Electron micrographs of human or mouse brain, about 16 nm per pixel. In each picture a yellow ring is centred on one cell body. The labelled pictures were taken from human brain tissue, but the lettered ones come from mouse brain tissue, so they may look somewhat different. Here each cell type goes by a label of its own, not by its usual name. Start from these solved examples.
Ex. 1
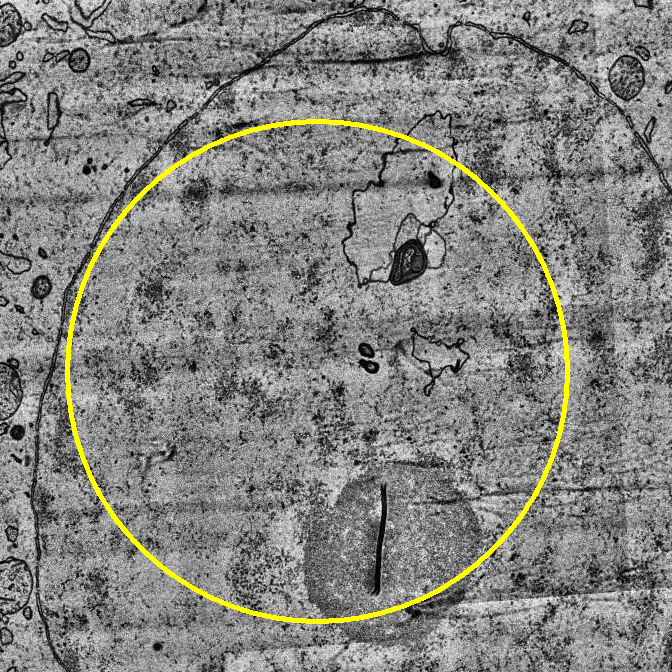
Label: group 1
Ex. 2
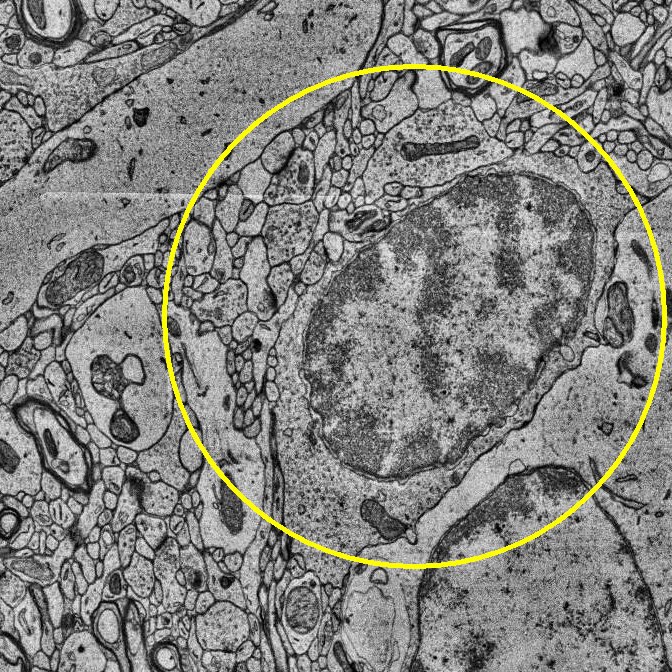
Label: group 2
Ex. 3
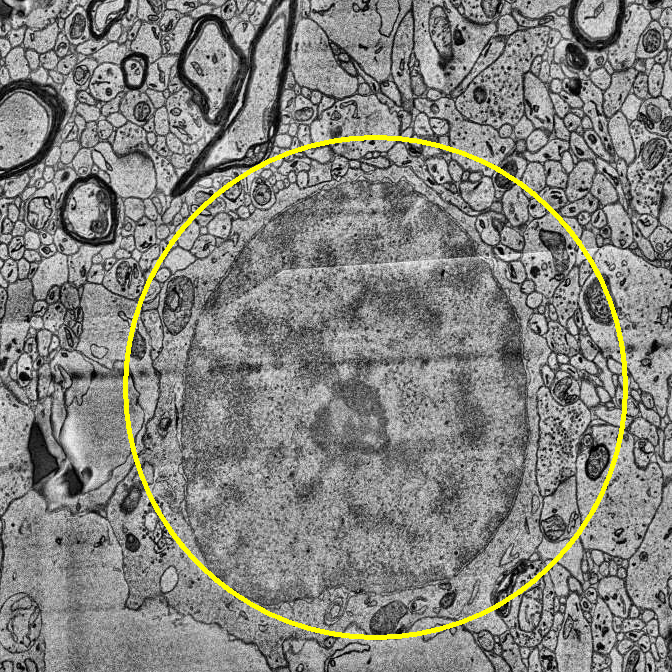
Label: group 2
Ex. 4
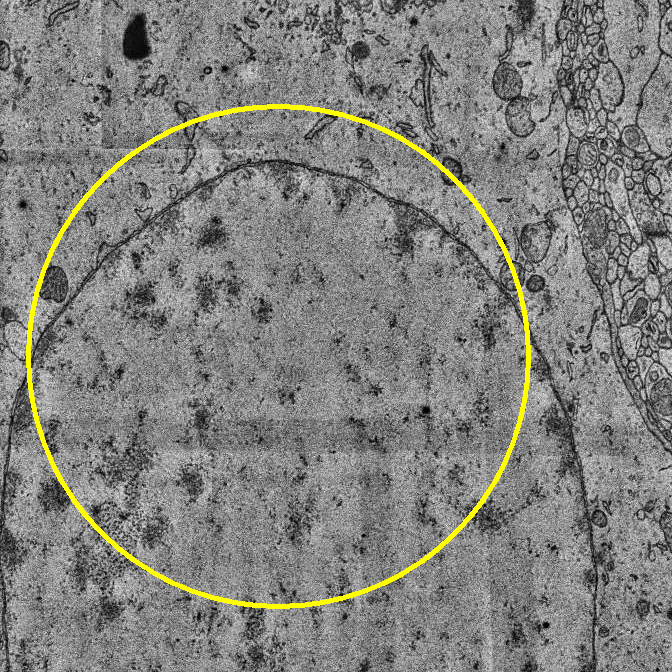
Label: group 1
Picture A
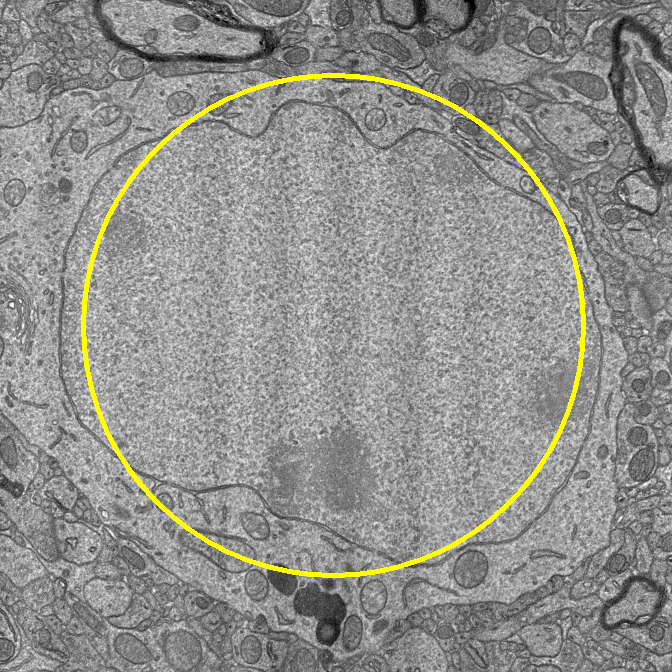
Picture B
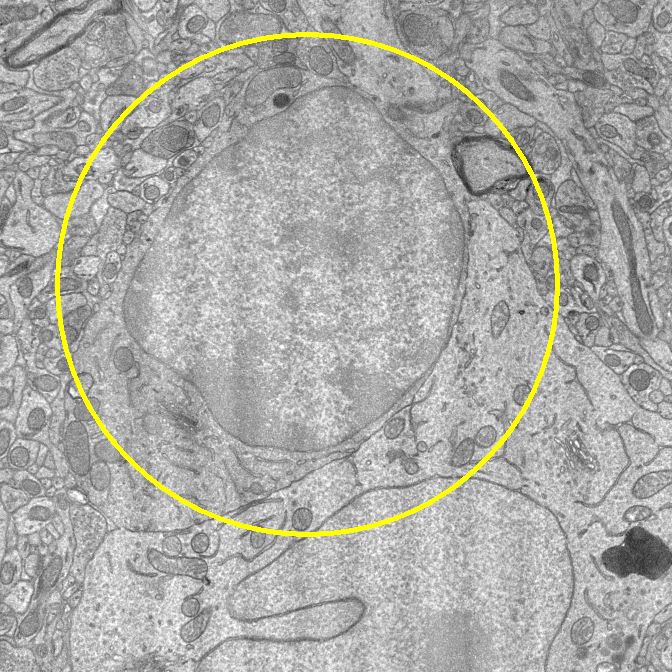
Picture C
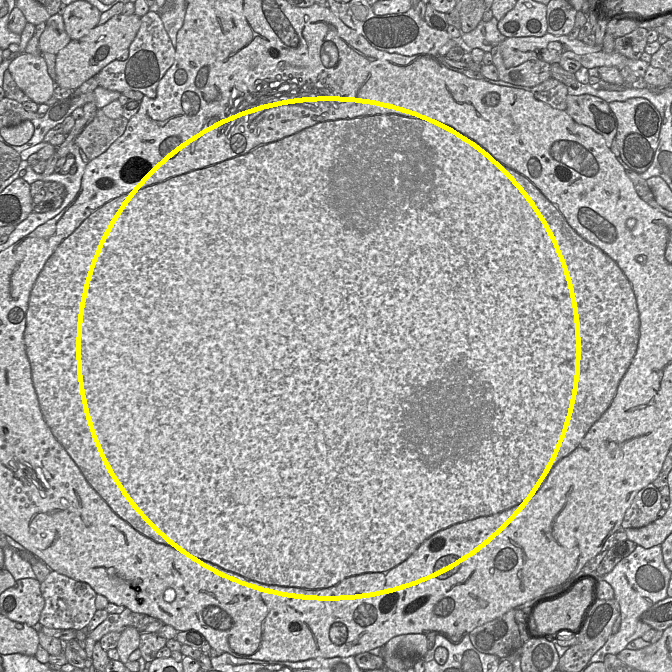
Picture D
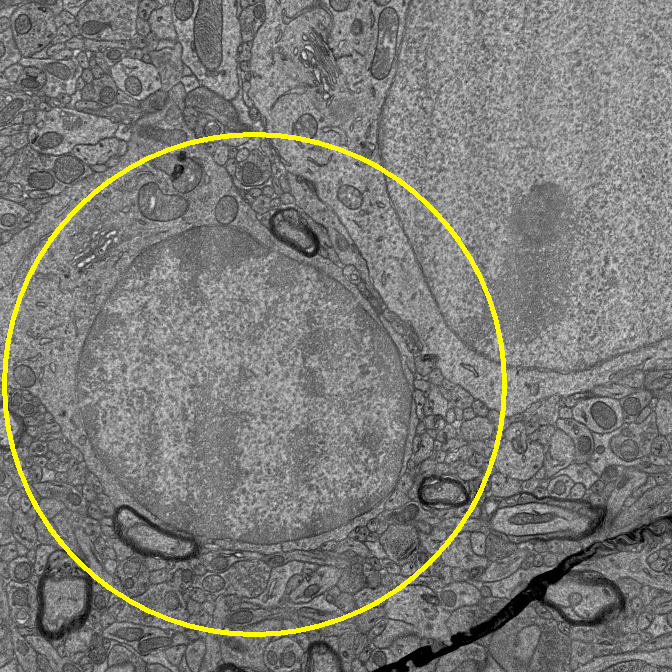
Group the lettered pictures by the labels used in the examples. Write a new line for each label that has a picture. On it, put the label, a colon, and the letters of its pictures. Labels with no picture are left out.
group 1: A, C
group 2: B, D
